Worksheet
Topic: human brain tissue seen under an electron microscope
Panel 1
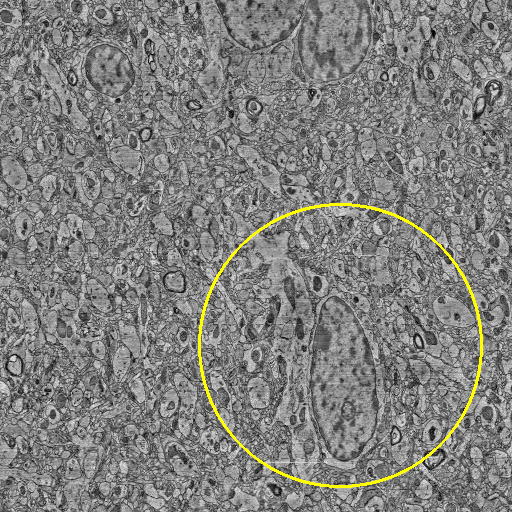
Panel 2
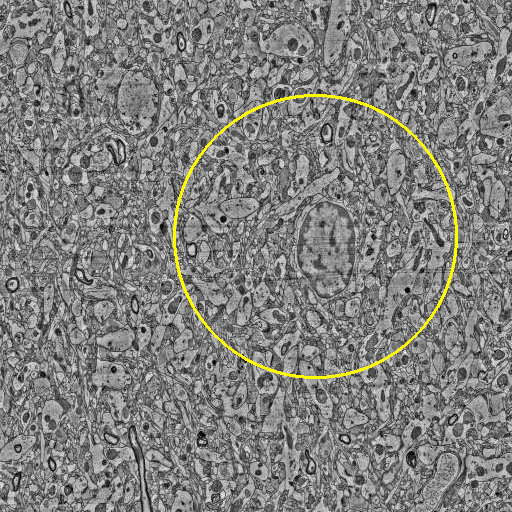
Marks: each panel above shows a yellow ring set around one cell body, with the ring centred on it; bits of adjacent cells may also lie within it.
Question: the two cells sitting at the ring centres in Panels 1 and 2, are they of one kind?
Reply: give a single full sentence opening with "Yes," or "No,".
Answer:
Yes, the two ring-centre cells in Panel 1 and Panel 2 are of one kind.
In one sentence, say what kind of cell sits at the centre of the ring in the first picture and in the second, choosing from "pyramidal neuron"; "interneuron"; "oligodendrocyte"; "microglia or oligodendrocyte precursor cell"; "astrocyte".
Each of the two pictures has a microglial cell or oligodendrocyte precursor cell at the ring centre.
